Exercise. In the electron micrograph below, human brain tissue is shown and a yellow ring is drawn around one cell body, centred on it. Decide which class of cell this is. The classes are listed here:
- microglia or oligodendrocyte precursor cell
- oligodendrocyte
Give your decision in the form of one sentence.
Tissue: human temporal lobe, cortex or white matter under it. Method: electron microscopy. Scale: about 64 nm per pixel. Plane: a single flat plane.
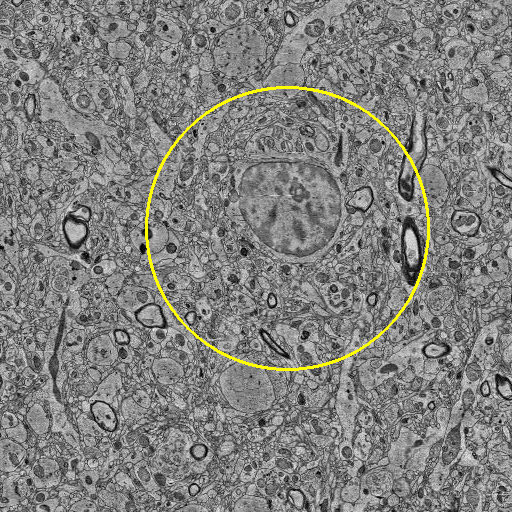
The cell body marked by the ring belongs to an oligodendrocyte.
